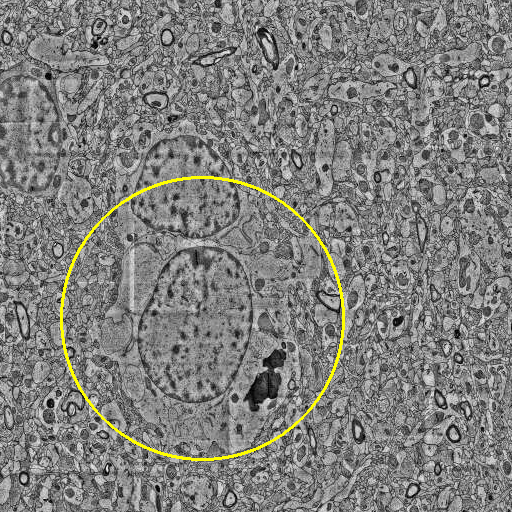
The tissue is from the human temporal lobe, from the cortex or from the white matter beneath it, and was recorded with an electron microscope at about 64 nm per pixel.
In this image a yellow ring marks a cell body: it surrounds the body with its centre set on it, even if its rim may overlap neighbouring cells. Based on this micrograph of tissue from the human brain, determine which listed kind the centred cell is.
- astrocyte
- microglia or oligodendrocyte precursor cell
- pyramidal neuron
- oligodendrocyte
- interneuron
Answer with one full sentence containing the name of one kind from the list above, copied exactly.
It is an astrocyte whose body the yellow ring encloses at its centre.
